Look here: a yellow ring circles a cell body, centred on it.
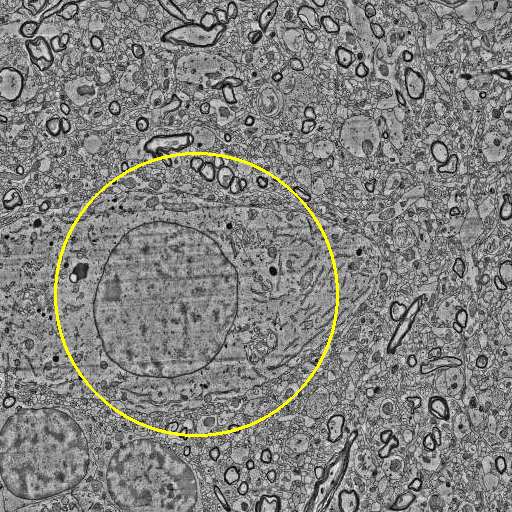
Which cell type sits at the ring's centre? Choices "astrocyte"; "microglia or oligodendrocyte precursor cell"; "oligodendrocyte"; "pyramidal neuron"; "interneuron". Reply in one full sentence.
The cell at the centre of the yellow ring in the picture is a pyramidal neuron.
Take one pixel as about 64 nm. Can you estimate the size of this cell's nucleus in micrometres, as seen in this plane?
Approximately 10 micrometers across in this plane.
